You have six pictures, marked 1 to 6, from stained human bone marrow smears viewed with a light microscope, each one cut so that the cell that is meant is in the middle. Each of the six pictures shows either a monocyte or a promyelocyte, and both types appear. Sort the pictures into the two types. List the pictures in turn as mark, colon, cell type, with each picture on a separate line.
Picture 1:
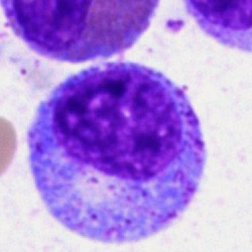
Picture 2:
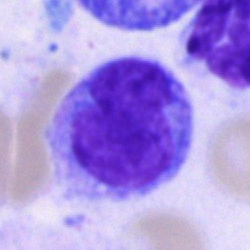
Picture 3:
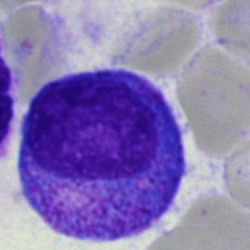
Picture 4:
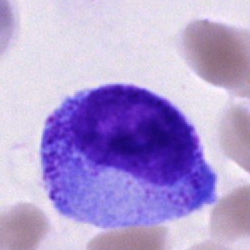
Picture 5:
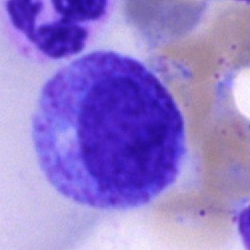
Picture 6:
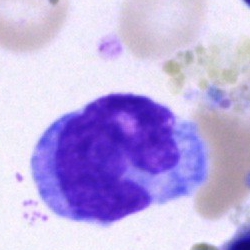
1: promyelocyte
2: monocyte
3: promyelocyte
4: promyelocyte
5: promyelocyte
6: monocyte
